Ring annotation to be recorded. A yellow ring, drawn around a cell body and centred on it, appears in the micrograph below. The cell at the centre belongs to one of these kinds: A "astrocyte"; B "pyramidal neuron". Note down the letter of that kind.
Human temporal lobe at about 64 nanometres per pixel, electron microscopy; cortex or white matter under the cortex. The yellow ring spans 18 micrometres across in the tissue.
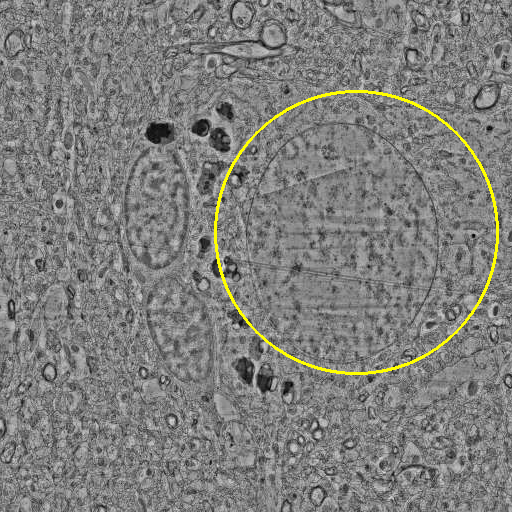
B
